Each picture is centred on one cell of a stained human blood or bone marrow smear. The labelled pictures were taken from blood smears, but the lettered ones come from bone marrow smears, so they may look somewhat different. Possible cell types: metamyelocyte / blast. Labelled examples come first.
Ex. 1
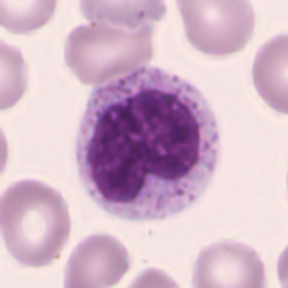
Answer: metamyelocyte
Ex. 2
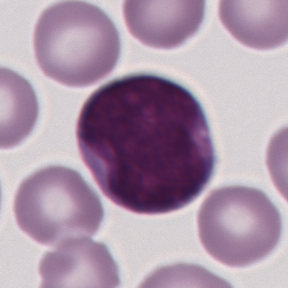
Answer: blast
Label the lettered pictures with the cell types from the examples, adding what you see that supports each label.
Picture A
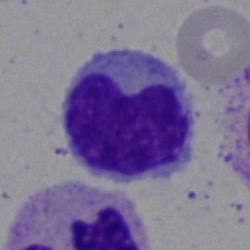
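metamyelocyte: The chromatin is dark purple and coarsely clumped, with small paler patches.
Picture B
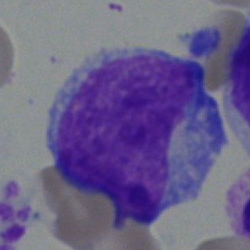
blast: The chromatin is finely granular rather than gathered into coarse dark clumps.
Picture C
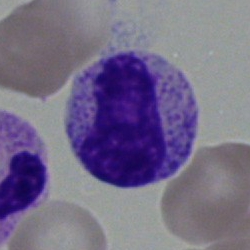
metamyelocyte: The chromatin is dark purple and coarsely clumped.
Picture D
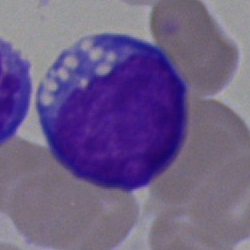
blast: The chromatin looks fine and evenly spread rather than clumped.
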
